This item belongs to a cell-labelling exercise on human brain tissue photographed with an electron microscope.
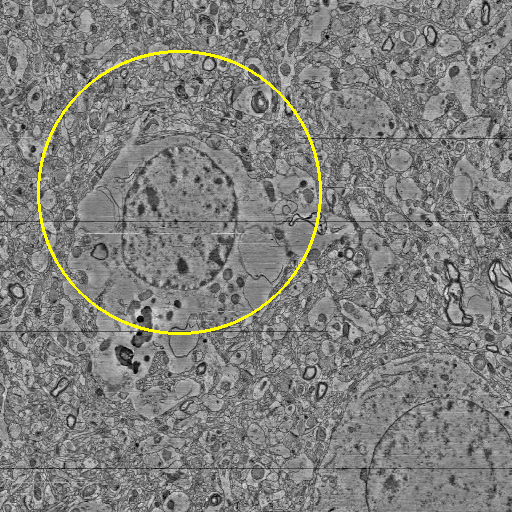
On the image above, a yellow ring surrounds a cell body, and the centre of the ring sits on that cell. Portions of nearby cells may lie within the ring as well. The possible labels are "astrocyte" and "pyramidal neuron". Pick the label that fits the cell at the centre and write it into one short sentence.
This cell should be labelled as an astrocyte.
